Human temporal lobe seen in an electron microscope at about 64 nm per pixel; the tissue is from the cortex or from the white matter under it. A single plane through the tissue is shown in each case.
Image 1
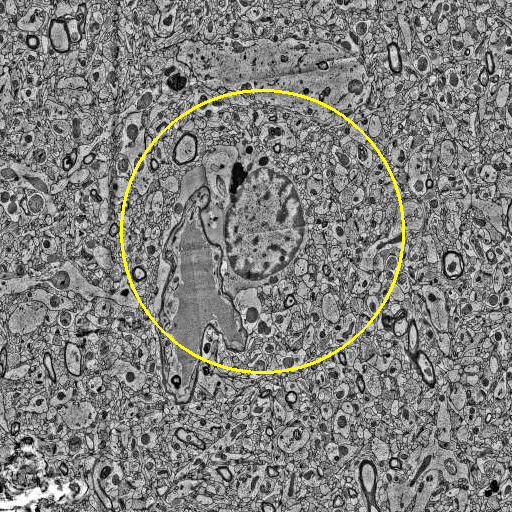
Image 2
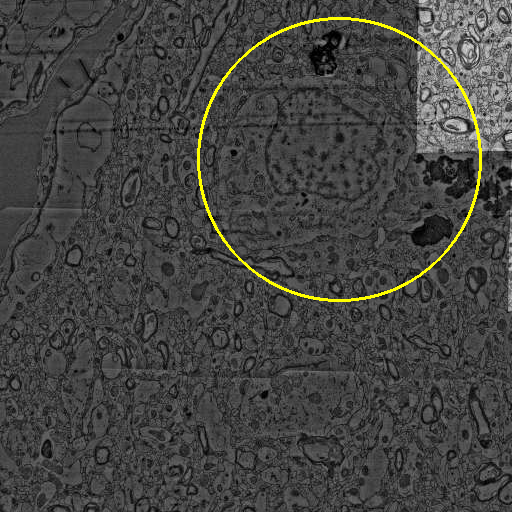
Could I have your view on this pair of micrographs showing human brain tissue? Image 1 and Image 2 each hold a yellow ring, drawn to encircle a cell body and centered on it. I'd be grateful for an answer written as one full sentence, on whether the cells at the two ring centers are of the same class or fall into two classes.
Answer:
The cells at the centers of the two rings fall into two classes.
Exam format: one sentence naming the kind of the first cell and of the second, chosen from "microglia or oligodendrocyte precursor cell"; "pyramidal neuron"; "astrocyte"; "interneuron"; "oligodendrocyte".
The first picture's cell is an oligodendrocyte, and the second picture's cell is an interneuron.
